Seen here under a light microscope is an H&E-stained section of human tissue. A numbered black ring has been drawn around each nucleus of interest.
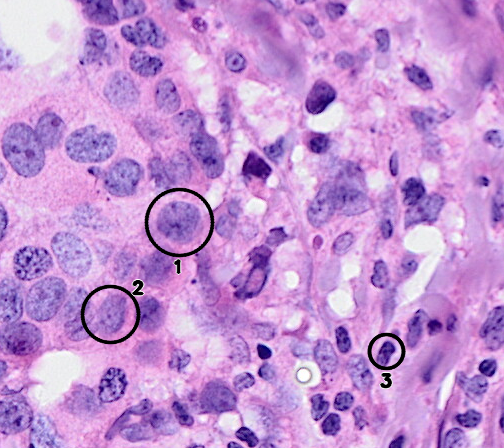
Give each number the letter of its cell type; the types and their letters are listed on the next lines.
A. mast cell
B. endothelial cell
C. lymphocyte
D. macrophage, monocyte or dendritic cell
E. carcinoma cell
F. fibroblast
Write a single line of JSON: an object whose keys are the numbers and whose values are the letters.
{"1": "E", "2": "E", "3": "C"}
